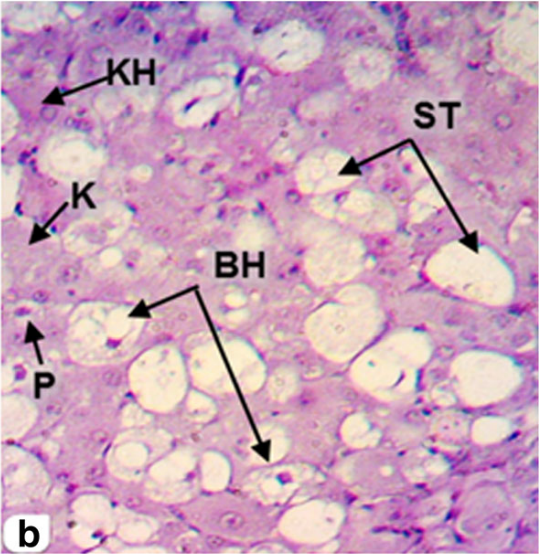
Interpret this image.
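Liver tissue in which many hepatocytes are enlarged and filled by large clear round vacuoles of varying size, giving a bubbly appearance. Between the vacuolated cells, remaining hepatocytes have pale pink cytoplasm, and scattered small, dark, condensed nuclei are seen alongside normal-looking round nuclei.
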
